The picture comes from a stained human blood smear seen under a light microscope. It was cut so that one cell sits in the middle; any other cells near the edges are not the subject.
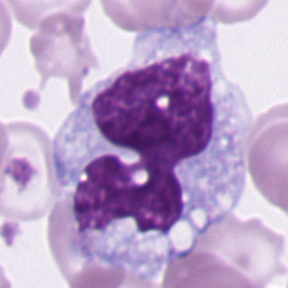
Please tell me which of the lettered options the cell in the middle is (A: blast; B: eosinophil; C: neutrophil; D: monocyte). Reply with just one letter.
D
